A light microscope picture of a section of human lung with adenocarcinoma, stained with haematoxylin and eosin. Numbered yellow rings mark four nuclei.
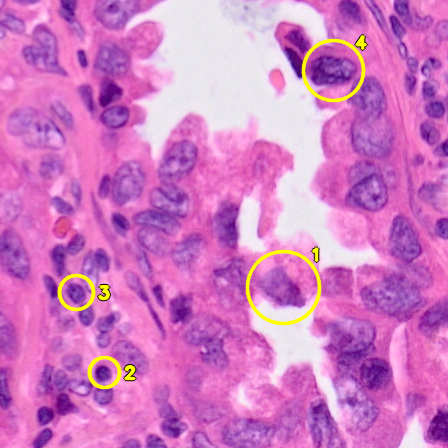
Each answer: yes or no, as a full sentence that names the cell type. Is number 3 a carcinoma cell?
No, number 3 marks a lymphocyte rather than a carcinoma cell.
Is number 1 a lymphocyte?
No, cell 1 does not represent a lymphocyte; it represents a carcinoma cell.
